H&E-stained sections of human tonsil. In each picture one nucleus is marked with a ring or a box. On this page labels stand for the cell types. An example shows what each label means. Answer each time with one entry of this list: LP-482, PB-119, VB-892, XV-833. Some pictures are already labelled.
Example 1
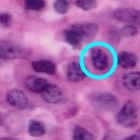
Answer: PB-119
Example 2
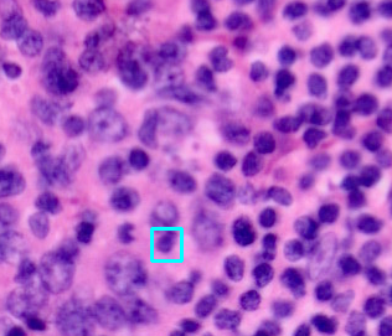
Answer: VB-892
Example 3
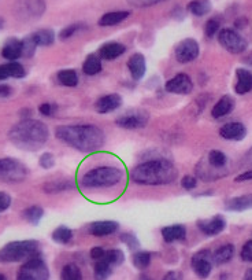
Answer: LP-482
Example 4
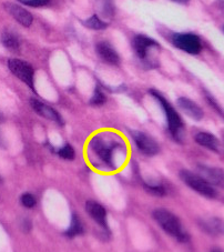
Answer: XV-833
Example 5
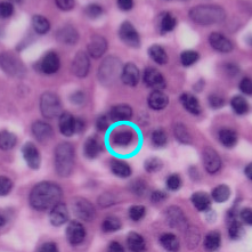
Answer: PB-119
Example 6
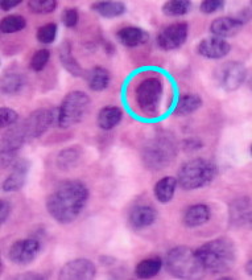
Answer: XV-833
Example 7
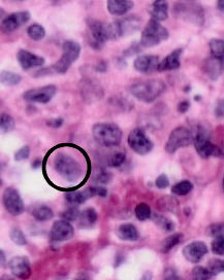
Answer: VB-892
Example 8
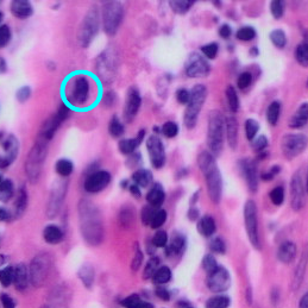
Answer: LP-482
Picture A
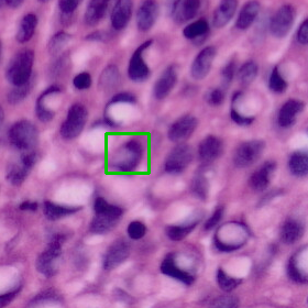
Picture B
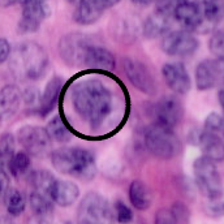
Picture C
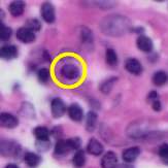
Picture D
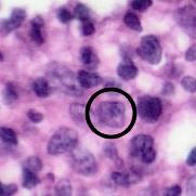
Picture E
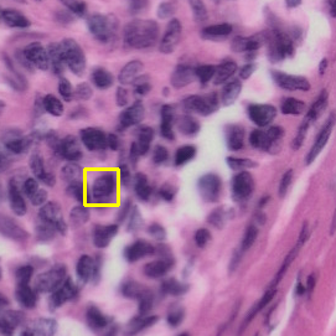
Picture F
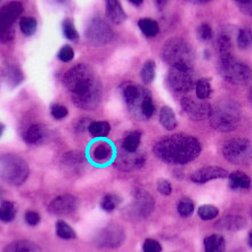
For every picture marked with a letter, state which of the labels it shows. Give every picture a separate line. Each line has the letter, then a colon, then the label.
A: XV-833
B: VB-892
C: LP-482
D: VB-892
E: VB-892
F: XV-833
